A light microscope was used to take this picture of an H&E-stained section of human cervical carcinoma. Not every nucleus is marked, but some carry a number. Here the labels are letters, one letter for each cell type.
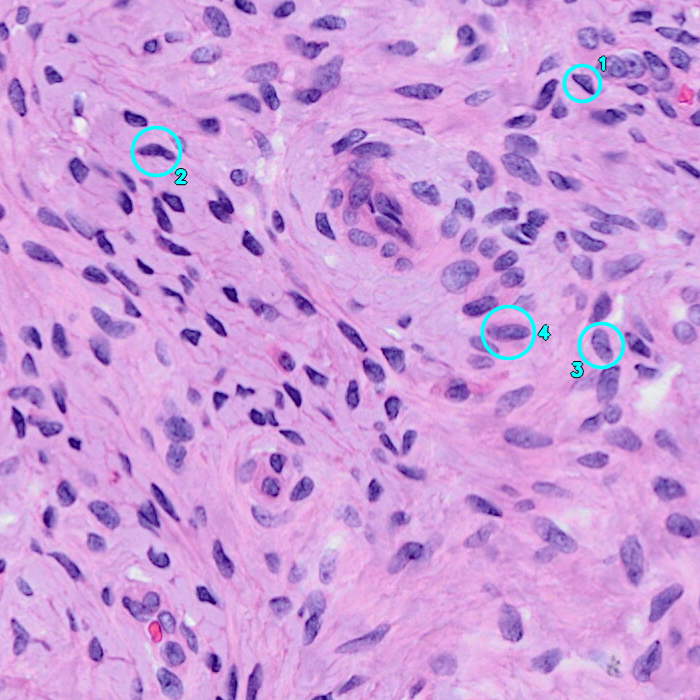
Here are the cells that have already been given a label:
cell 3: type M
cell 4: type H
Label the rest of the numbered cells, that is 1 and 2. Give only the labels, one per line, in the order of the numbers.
type M
type M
